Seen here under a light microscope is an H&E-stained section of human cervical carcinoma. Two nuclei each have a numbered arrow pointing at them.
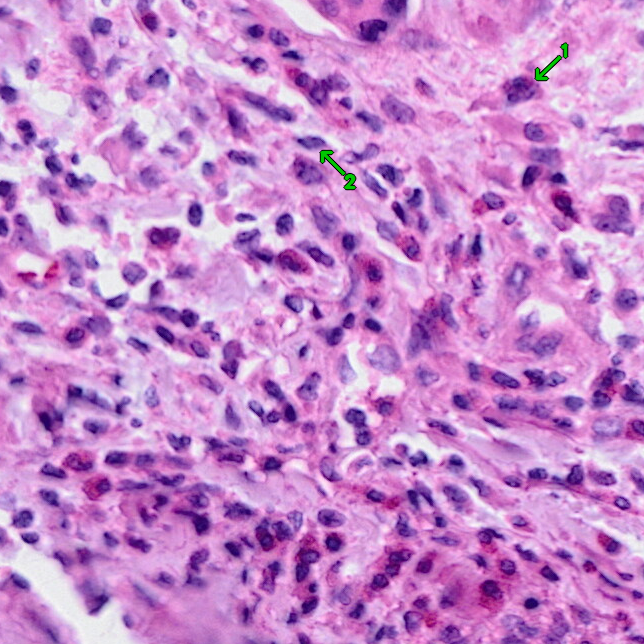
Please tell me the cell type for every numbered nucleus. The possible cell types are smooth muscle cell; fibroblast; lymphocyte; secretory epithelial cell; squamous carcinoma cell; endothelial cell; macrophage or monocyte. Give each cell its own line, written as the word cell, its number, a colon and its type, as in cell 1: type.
cell 1: macrophage or monocyte
cell 2: lymphocyte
